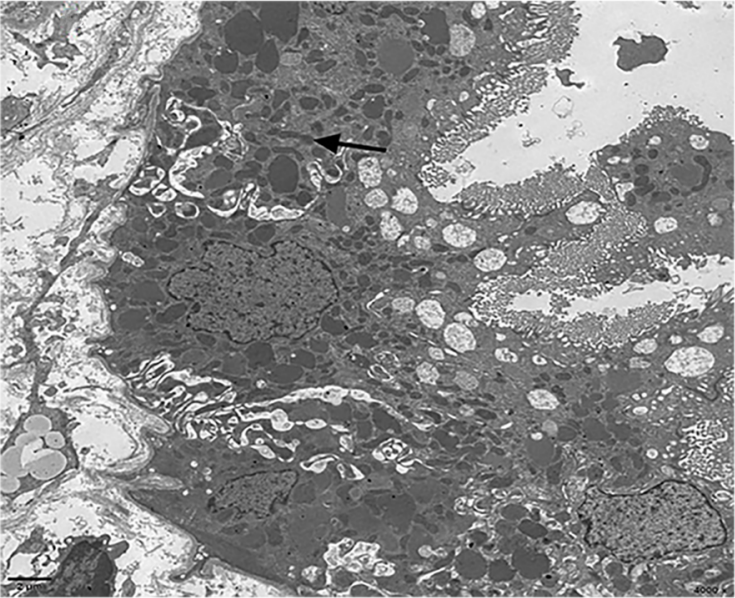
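Electron micrograph of renal tubule epithelial cells, with a dense brush border of fine microvilli projecting into the lumen at the upper right. The cytoplasm is crowded with numerous dark, electron-dense mitochondria, round, oval or irregular in shape, packed close together. Pale, rounded vacuoles lie scattered mainly near the luminal surface. Oval nuclei with finely granular chromatin lie within the cells. At the basal side, pale, convoluted membrane folds form lace-like clear spaces, and beyond them lies loose connective tissue with a few red blood cells at the lower left.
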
